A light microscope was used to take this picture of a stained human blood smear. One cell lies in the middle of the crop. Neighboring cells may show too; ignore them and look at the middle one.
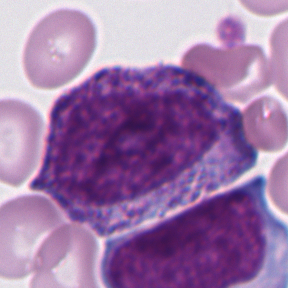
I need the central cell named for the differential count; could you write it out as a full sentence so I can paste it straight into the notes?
Standing at the centre of this crop is a myelocyte.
